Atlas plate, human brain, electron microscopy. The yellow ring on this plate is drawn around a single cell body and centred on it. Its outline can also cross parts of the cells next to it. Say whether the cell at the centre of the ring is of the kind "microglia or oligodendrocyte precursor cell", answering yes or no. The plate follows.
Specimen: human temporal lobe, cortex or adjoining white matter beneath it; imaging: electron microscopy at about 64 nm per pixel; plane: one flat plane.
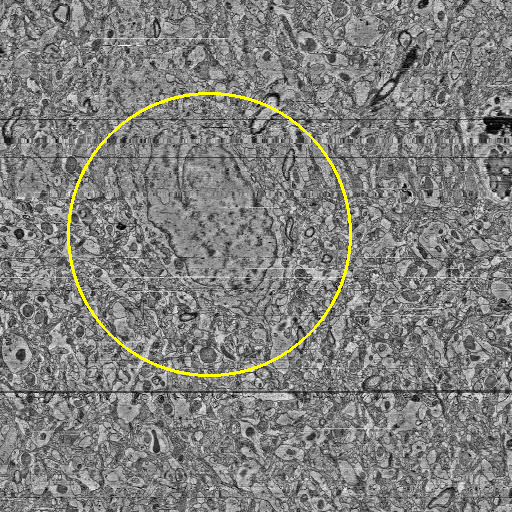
No, the cell is of another kind.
